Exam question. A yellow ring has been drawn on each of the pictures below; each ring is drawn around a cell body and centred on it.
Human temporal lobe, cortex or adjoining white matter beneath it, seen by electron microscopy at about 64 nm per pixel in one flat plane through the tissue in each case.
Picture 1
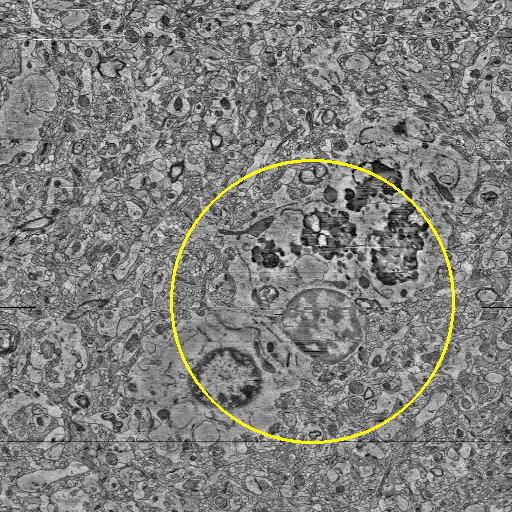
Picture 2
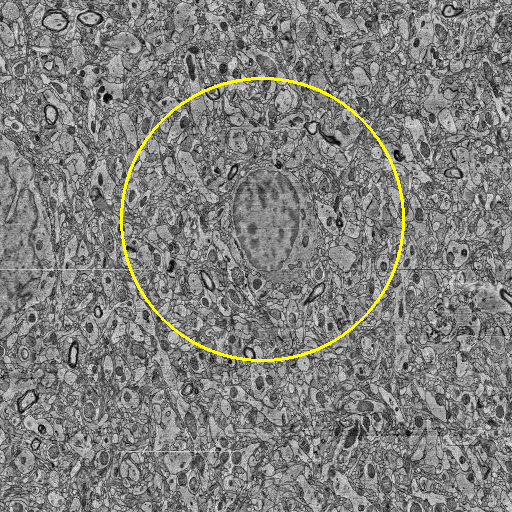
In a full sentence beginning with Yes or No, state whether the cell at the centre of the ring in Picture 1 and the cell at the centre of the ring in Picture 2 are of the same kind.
Yes, the two cells are of the same kind.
